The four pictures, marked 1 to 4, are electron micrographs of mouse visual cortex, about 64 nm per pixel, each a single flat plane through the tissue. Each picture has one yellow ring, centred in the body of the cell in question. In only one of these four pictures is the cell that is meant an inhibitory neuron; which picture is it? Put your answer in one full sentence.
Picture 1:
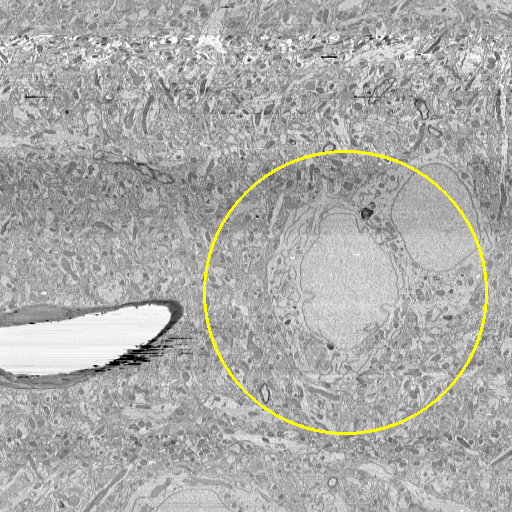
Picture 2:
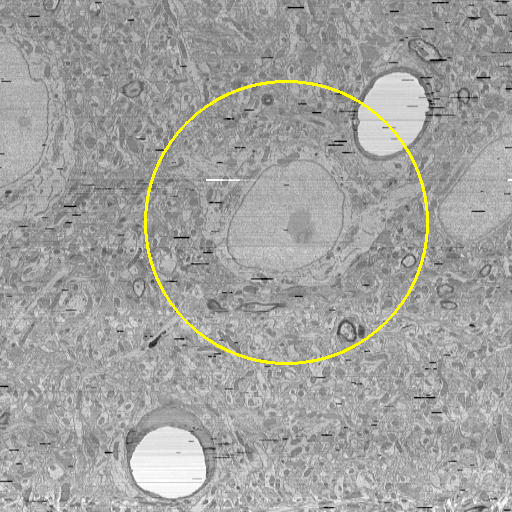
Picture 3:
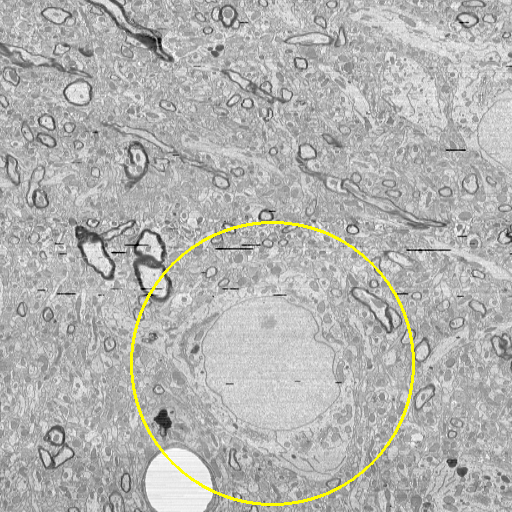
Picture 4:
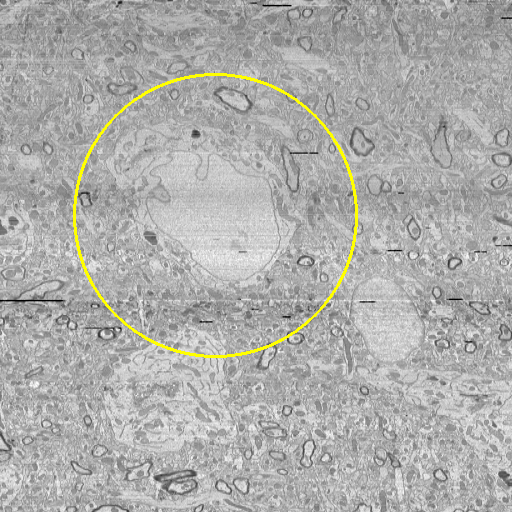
Picture 1 is the one that shows the inhibitory neuron.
